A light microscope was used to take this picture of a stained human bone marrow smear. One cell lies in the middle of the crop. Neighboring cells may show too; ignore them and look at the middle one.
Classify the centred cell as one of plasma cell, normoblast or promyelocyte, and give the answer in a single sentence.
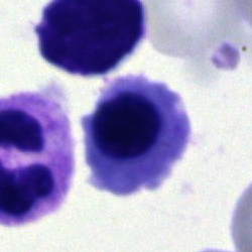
The cell that lies at the centre of the crop is a normoblast.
